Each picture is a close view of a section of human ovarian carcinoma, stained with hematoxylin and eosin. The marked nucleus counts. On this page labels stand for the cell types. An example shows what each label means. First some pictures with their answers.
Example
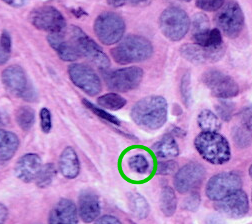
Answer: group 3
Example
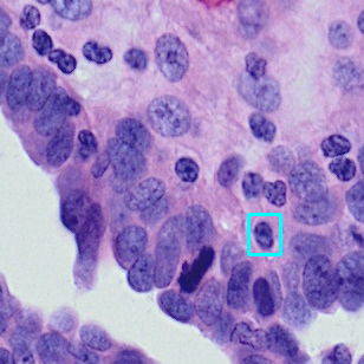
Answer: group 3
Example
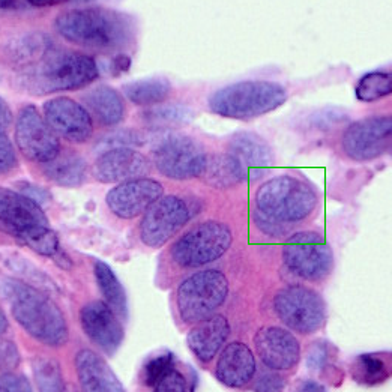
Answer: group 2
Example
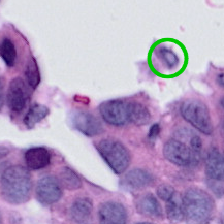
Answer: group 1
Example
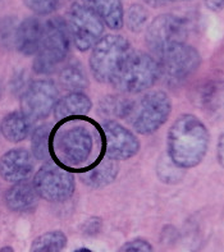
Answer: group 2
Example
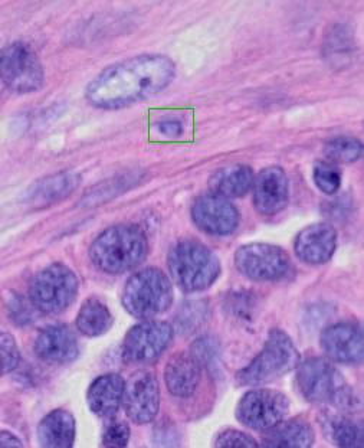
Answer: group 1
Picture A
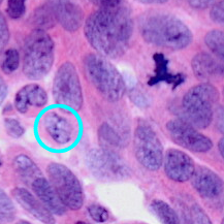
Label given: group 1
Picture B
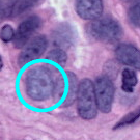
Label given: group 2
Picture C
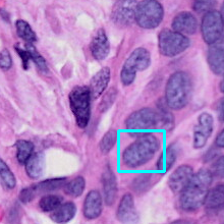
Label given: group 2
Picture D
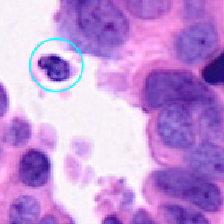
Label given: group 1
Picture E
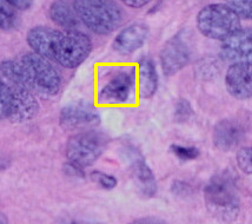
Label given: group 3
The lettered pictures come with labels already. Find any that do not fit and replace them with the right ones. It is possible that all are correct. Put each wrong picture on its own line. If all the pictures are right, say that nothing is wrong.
D is labelled group 1; correct label: group 3
E is labelled group 3; correct label: group 1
